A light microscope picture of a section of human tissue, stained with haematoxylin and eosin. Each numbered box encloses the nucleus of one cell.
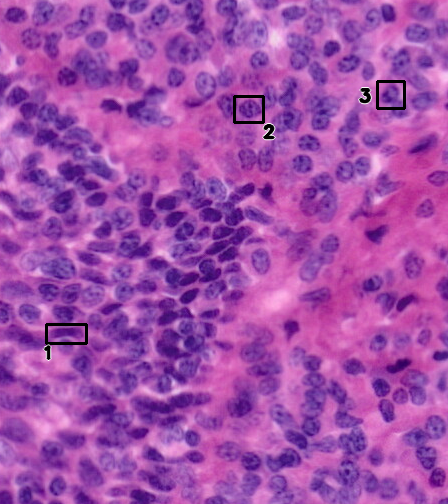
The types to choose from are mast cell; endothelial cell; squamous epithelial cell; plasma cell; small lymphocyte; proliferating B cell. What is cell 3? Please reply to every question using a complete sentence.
Numbered cell 3 is a plasma cell in this tissue section.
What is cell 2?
The cell marked with number 2 is a plasma cell.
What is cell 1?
The cell indicated by marker 1 is a squamous epithelial cell in this section.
